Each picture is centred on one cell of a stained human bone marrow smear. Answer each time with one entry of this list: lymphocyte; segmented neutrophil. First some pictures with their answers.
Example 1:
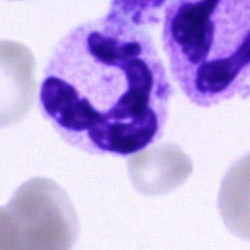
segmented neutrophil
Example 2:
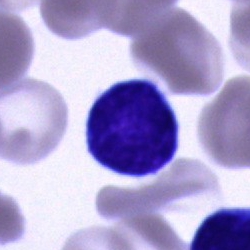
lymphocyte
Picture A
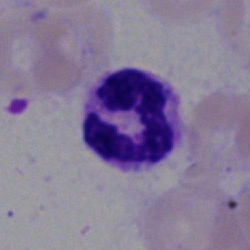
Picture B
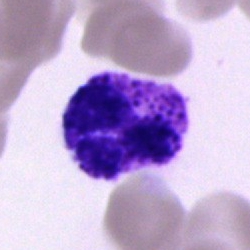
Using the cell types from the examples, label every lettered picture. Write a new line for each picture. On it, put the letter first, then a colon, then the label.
A: segmented neutrophil
B: segmented neutrophil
